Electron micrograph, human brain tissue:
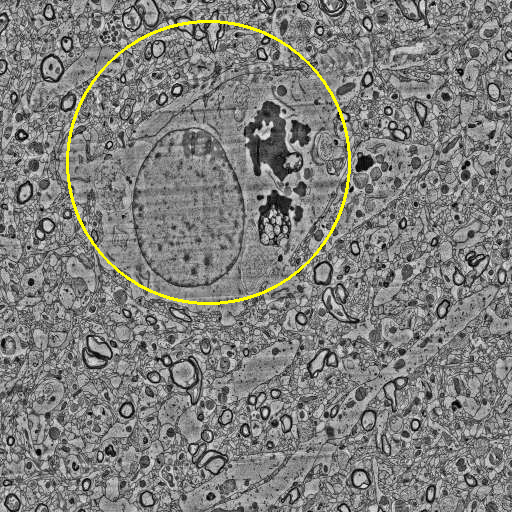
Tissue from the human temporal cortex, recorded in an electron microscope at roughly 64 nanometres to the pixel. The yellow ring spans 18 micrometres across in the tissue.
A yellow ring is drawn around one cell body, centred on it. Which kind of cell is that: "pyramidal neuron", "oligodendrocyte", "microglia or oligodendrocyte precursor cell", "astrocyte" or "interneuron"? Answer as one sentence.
It is an astrocyte at the centre of the ring.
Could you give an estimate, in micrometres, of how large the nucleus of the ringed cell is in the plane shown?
Roughly 10 by 7 micrometres is the size of the nucleus in this plane.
